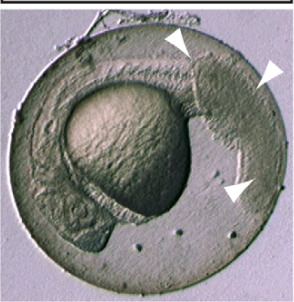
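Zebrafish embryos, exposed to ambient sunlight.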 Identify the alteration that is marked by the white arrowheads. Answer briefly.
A: Necrotic regions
